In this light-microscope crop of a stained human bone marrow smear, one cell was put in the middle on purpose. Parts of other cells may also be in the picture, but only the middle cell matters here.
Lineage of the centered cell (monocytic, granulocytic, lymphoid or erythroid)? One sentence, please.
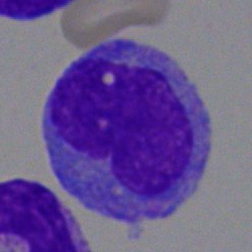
Regarding the central cell, its lineage is monocytic.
